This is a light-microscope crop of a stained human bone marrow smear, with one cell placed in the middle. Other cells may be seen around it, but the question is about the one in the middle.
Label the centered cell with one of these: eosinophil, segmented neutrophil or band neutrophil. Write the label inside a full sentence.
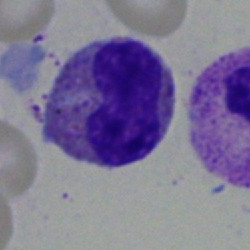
In this crop, the cell at the very middle is an eosinophil.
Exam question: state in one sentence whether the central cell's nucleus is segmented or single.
The nucleus amounts to one compact mass with a round, oval or kidney-shaped outline.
